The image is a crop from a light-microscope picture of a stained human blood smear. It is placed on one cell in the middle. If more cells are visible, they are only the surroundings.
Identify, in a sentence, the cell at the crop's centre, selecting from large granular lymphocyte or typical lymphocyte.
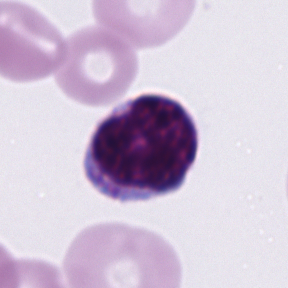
At the center of the crop sits a typical lymphocyte.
